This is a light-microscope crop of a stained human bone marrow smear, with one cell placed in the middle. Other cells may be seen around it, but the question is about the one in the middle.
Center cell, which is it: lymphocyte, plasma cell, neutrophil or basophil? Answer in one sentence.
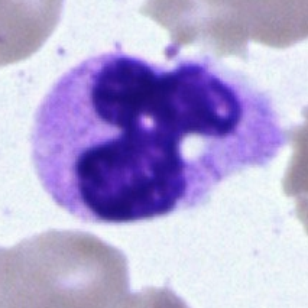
In the middle of this smear crop, the cell is a neutrophil.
